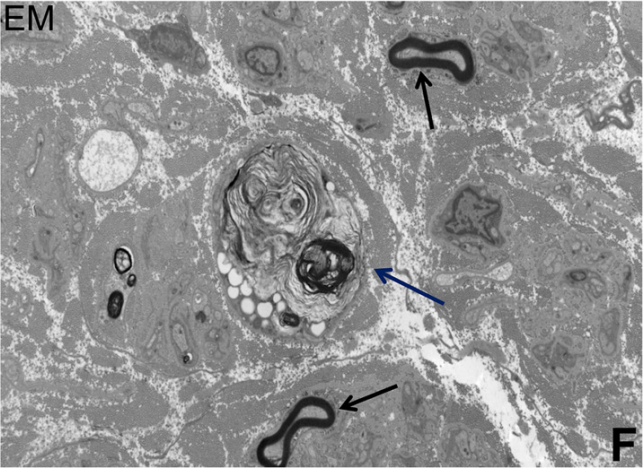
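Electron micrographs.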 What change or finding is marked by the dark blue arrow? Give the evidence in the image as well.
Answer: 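Wallerian degeneration. The arrow points to a fibre filled with whorled, collapsed dark membranes. Clear round vacuoles crowd beside the whorled debris.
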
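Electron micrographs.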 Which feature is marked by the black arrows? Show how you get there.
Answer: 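Residual myelinated axons. Each arrow points to a thick, dense black ring around a pale centre. These dark rings are few among many pale profiles.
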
